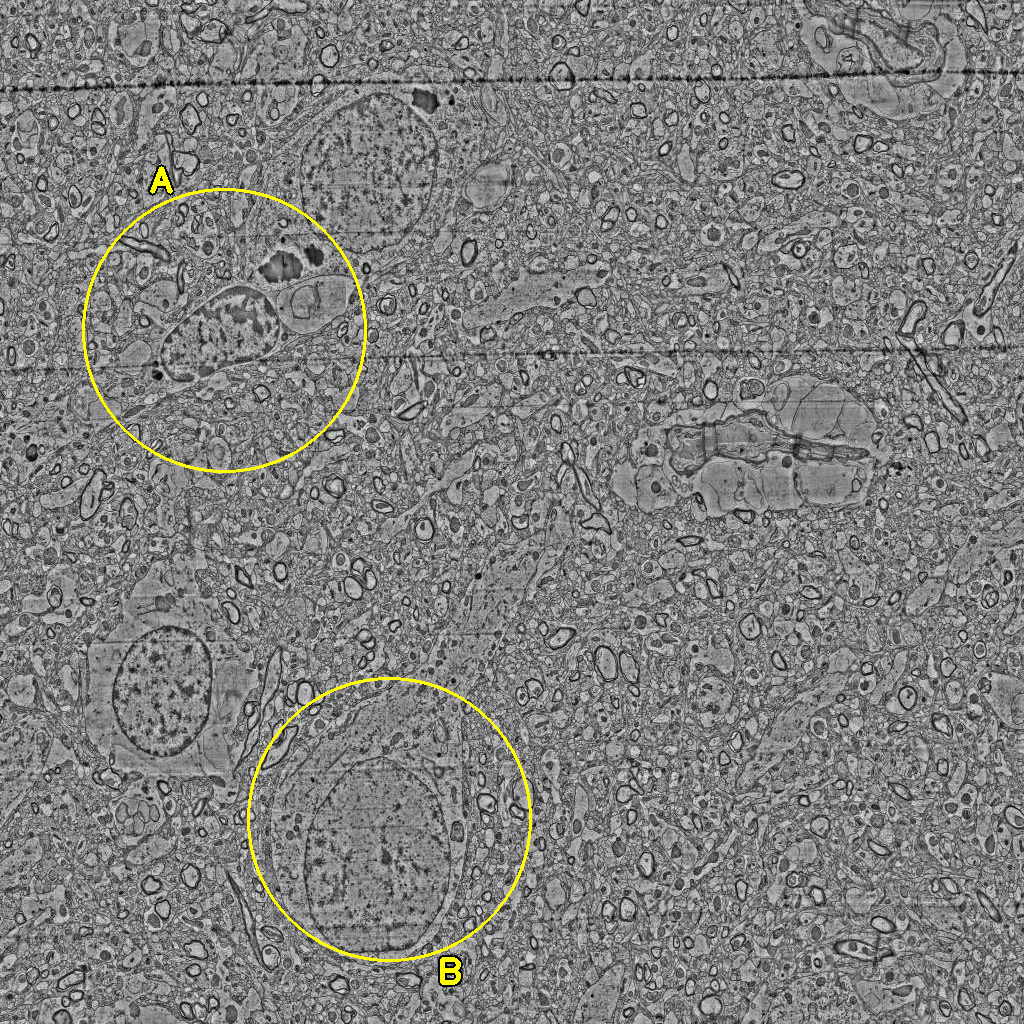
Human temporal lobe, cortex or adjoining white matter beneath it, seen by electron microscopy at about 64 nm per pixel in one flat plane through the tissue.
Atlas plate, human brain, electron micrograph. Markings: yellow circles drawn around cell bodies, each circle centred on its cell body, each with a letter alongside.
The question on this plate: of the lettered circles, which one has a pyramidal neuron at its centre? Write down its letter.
B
